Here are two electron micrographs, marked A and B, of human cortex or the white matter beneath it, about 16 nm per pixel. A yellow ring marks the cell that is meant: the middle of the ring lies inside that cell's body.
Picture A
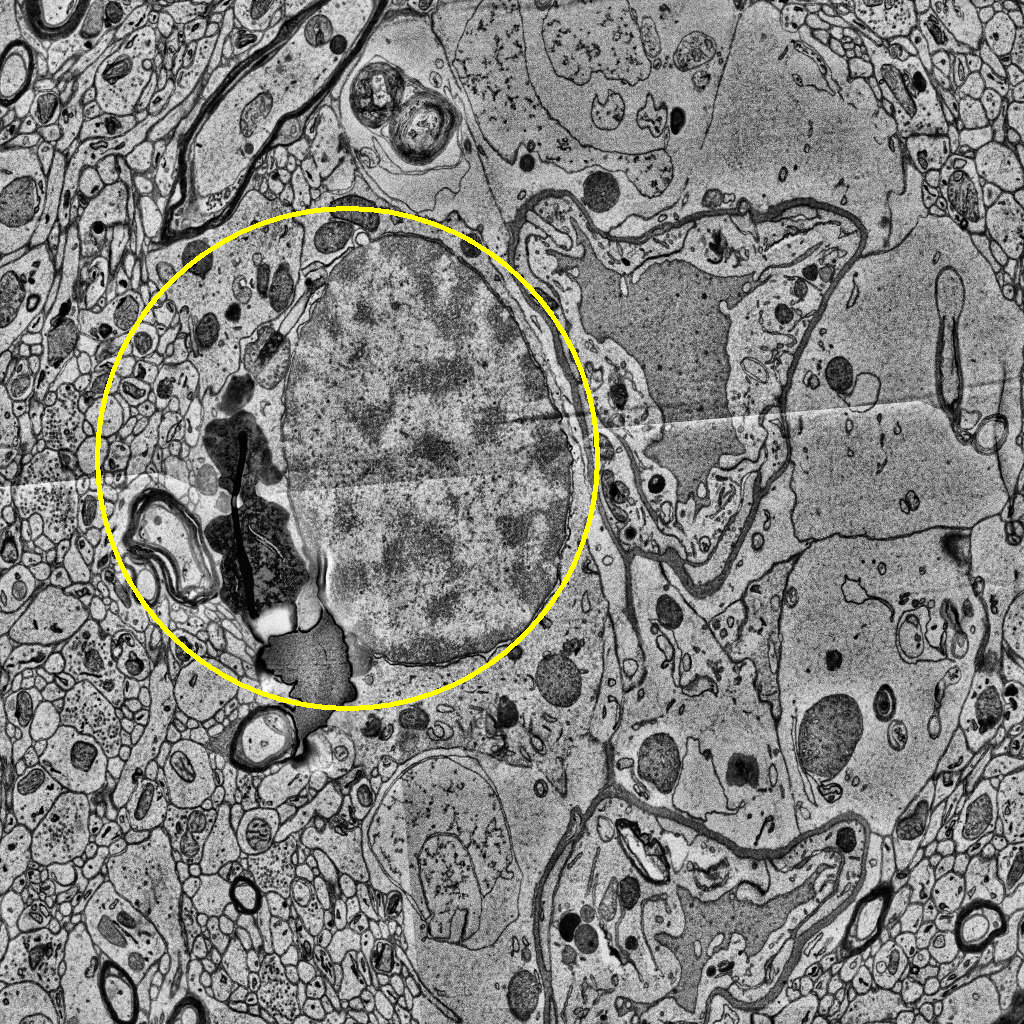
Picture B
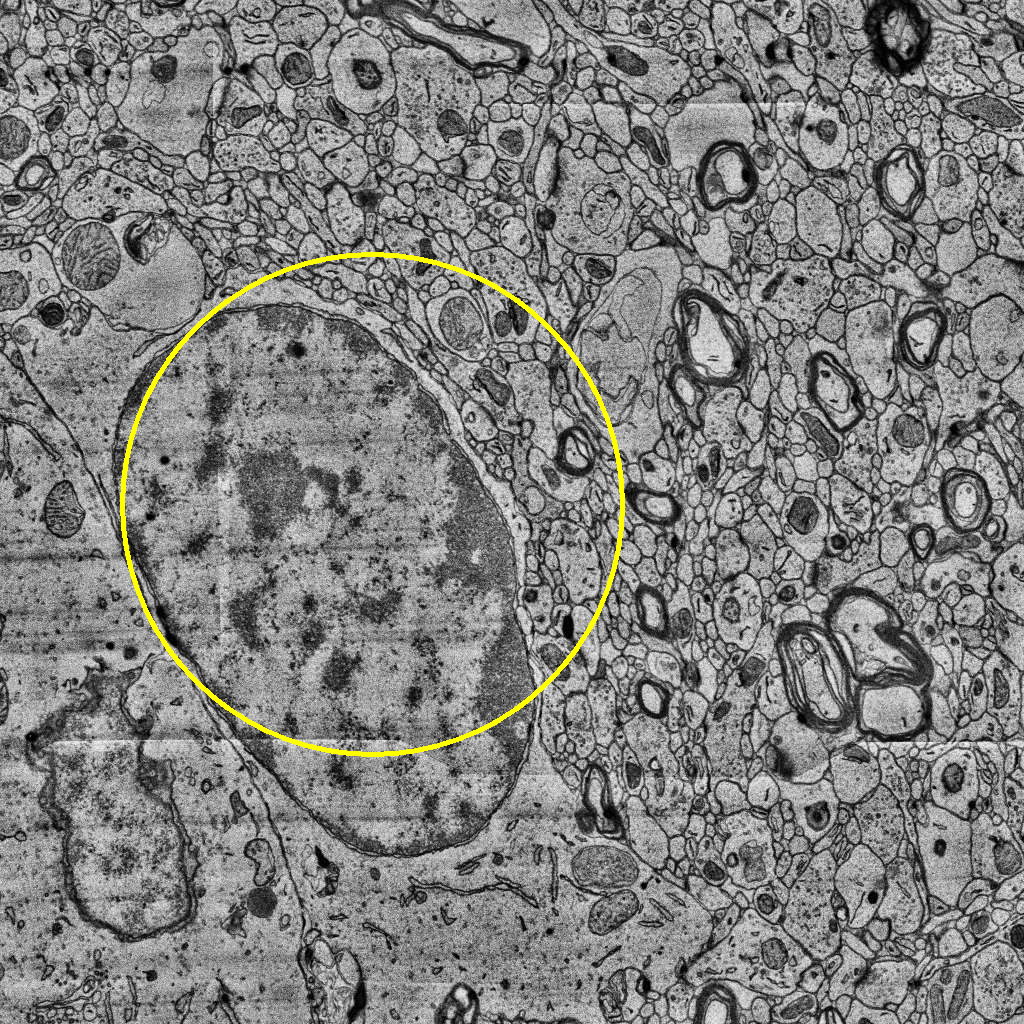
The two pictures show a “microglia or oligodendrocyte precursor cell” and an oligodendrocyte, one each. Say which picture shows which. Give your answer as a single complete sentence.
The cell in picture A is an oligodendrocyte, and the one in picture B is a “microglia or oligodendrocyte precursor cell”.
